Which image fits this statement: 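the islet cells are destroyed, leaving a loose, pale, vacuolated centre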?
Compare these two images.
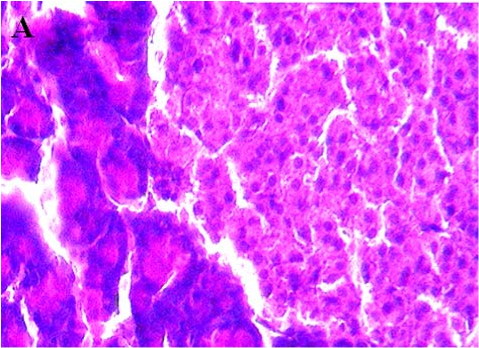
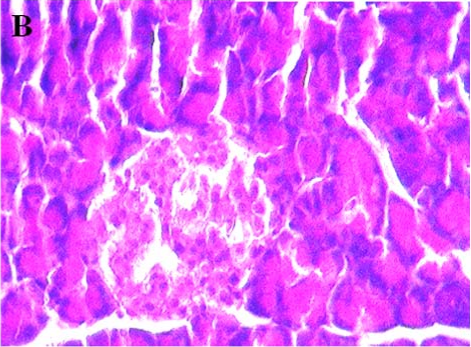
the second image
